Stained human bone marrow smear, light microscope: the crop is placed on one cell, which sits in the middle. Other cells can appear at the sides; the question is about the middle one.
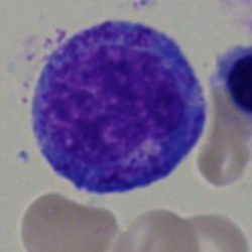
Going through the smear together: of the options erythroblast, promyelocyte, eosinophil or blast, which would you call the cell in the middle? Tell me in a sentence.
The cell that lies at the centre of the crop is a promyelocyte.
